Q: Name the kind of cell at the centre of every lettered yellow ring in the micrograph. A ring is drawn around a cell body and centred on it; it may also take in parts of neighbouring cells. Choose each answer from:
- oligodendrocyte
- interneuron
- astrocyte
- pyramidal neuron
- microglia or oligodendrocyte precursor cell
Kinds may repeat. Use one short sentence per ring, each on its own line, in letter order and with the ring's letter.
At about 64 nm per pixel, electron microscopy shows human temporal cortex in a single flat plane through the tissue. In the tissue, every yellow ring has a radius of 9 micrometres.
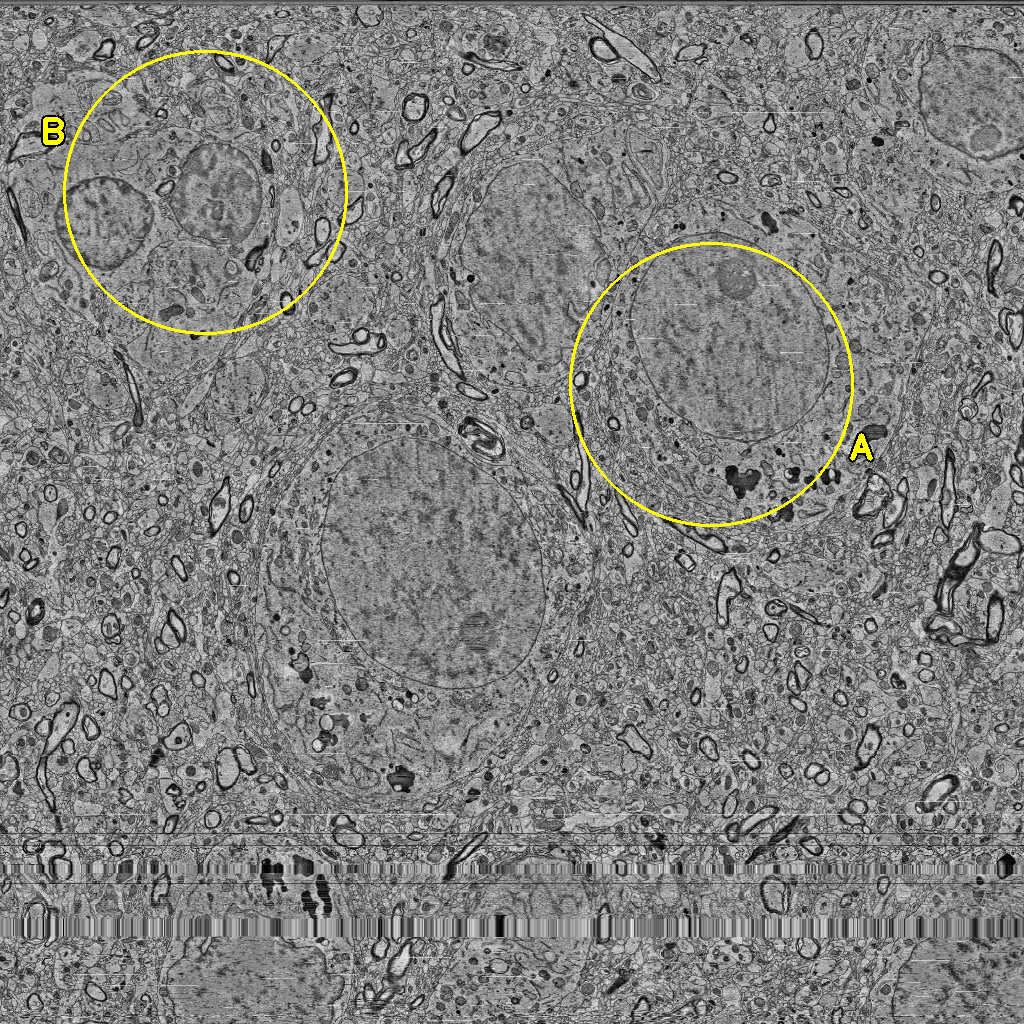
Ring A is placed around a pyramidal neuron.
Ring B is placed around an oligodendrocyte.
